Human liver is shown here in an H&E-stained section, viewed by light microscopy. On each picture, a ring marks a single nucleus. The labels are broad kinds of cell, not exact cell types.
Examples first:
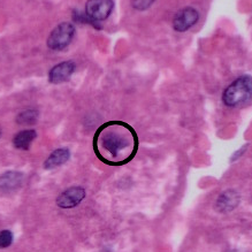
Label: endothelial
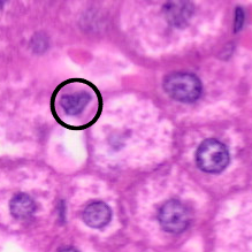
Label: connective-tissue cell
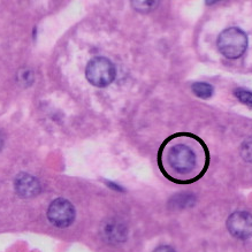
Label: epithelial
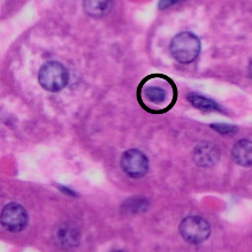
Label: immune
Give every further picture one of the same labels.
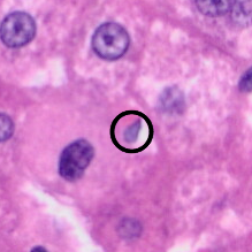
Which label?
endothelial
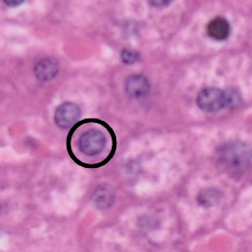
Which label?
epithelial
